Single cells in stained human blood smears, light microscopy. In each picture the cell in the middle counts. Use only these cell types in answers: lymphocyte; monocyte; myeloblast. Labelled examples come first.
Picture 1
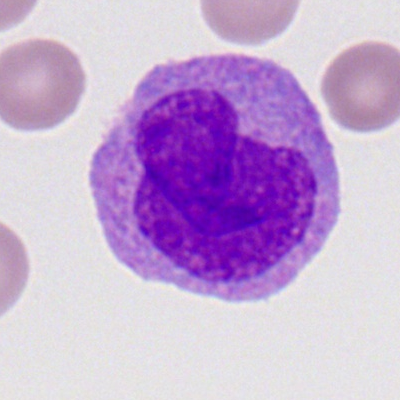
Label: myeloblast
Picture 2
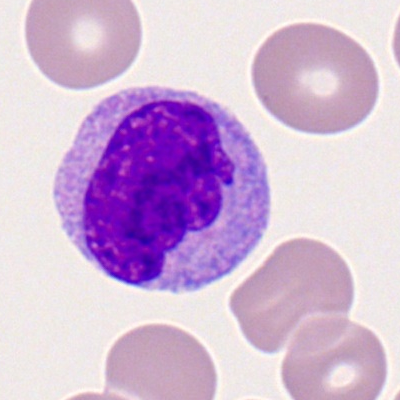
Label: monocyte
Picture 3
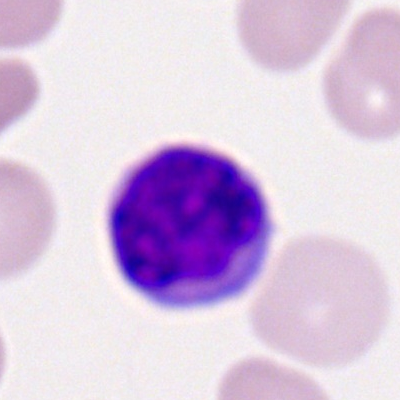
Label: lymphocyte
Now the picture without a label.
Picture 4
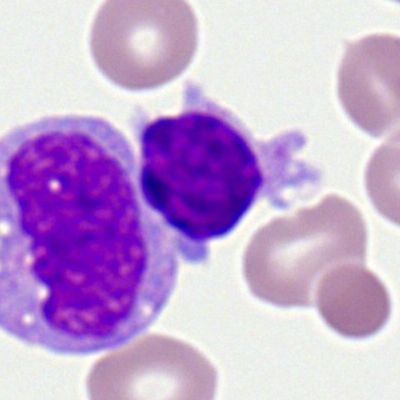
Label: lymphocyte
